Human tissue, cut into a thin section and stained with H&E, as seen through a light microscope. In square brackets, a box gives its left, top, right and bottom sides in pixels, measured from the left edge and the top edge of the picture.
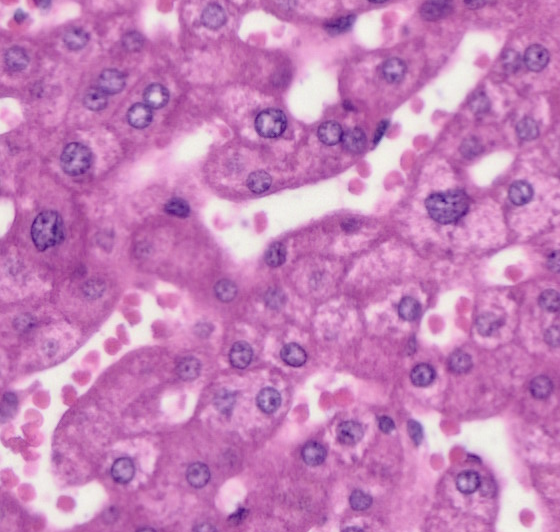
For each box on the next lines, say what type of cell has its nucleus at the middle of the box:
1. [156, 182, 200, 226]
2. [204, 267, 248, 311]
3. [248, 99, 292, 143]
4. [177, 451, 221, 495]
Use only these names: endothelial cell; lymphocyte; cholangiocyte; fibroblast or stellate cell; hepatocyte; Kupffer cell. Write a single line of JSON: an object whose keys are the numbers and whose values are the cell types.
{"1": "fibroblast or stellate cell", "2": "hepatocyte", "3": "hepatocyte", "4": "hepatocyte"}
